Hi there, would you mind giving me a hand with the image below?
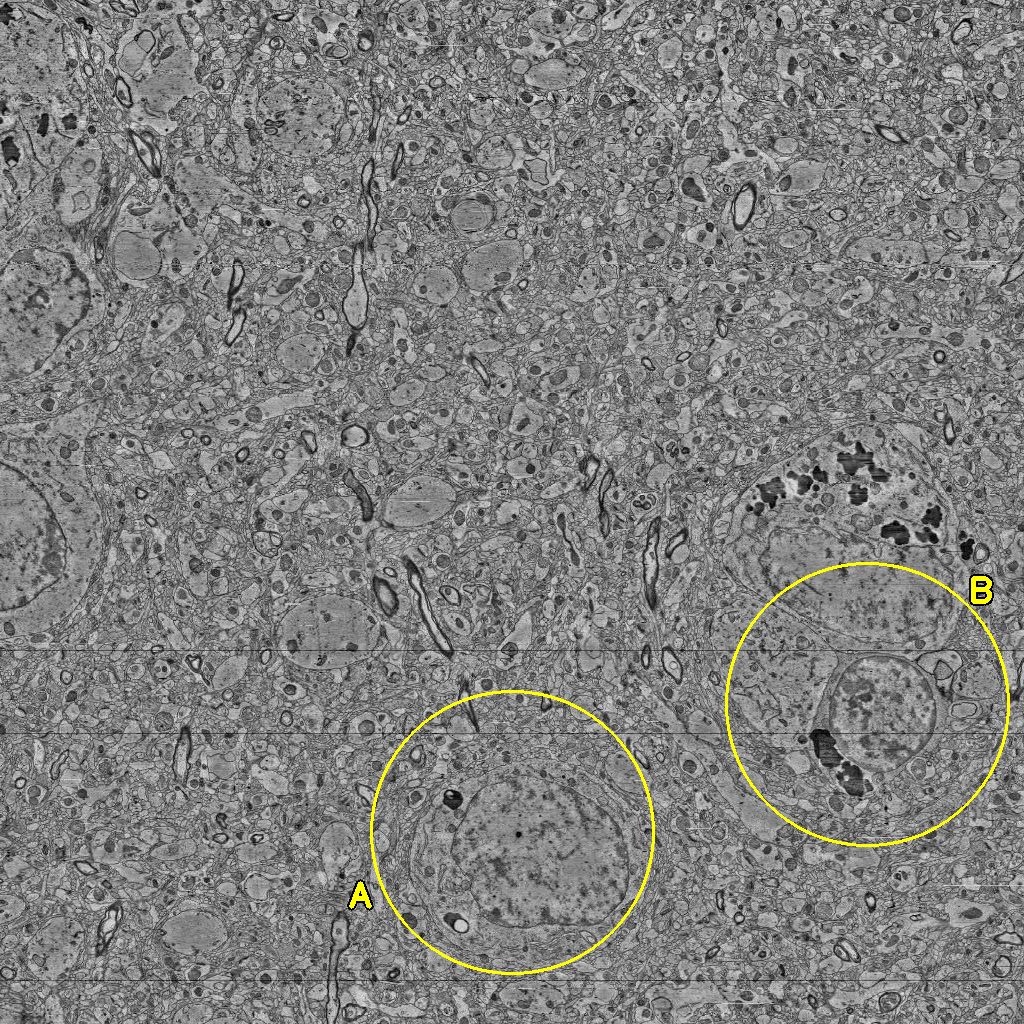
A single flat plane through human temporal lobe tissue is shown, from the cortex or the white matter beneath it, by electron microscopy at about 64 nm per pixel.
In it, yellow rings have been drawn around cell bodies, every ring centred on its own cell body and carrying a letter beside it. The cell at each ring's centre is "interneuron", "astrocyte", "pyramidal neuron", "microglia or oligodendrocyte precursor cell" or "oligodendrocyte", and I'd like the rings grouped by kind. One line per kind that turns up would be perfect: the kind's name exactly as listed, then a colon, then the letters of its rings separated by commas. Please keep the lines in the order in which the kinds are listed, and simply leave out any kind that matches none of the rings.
interneuron: A
oligodendrocyte: B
